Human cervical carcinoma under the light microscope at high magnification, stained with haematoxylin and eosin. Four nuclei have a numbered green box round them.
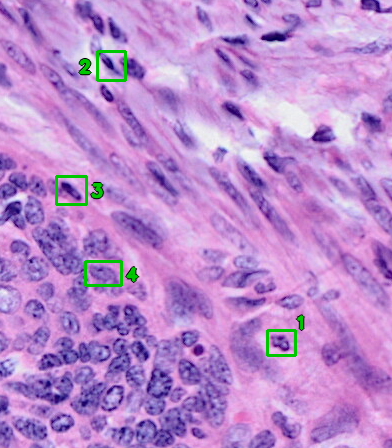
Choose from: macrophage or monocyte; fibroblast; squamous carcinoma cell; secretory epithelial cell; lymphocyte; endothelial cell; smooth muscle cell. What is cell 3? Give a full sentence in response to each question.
Number 3 is placed on a lymphocyte here.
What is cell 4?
That cell with number 4 is a squamous carcinoma cell.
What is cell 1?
The nucleus marked 1 is the nucleus of a lymphocyte.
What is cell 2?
The cell numbered 2 has been identified as a lymphocyte.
